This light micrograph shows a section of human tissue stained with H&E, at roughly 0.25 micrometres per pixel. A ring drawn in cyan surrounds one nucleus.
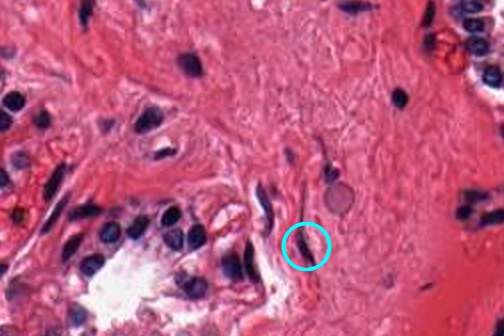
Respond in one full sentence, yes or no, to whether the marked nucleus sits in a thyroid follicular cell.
No, what the marked nucleus belongs to is a supporting cell, not a thyroid follicular cell.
